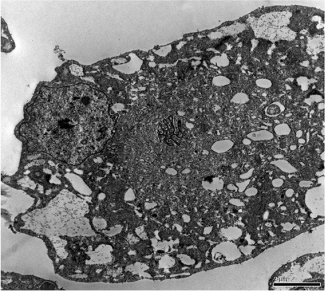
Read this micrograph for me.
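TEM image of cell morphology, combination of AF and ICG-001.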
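A single cultured cell is seen in section, elongated and irregular in outline, with few short surface projections. The nucleus lies toward one side, rounded, with patches of darker chromatin. The dense, uniform cytoplasm typical of a healthy cell is largely lost, giving a moth-eaten appearance, and organelles are hard to make out among the vacuoles.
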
